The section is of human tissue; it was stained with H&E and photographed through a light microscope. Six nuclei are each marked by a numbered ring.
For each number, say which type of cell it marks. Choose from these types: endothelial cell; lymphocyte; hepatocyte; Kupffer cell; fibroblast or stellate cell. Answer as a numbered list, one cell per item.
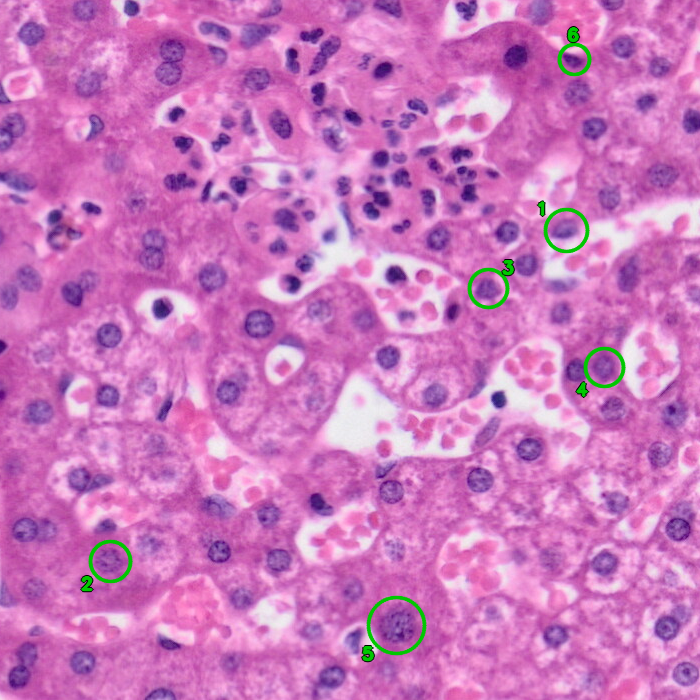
1. Kupffer cell
2. hepatocyte
3. hepatocyte
4. hepatocyte
5. hepatocyte
6. fibroblast or stellate cell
